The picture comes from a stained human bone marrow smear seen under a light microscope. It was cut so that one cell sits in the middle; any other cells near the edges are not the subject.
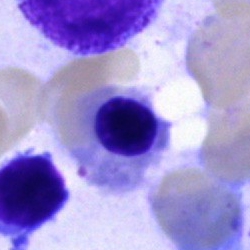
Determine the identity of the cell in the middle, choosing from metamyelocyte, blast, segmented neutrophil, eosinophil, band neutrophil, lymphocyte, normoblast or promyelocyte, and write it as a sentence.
Regarding the central cell, it is a normoblast.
